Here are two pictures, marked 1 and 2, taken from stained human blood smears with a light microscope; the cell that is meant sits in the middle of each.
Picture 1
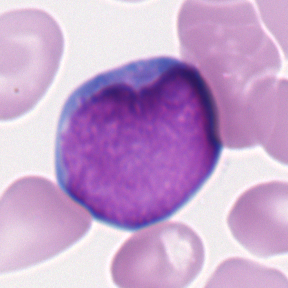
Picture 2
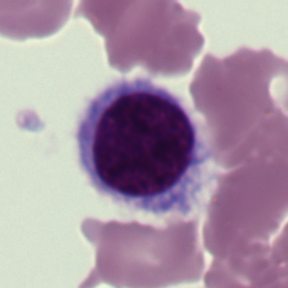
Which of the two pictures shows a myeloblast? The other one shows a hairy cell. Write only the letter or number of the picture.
1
